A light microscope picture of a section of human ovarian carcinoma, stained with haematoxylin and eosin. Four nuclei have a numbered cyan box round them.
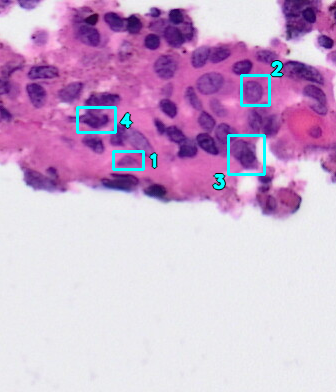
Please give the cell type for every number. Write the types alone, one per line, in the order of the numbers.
endothelial cell
carcinoma cell
carcinoma cell
carcinoma cell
